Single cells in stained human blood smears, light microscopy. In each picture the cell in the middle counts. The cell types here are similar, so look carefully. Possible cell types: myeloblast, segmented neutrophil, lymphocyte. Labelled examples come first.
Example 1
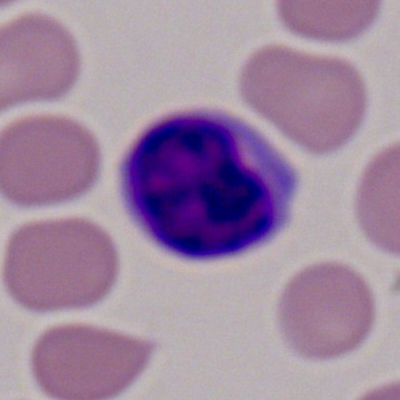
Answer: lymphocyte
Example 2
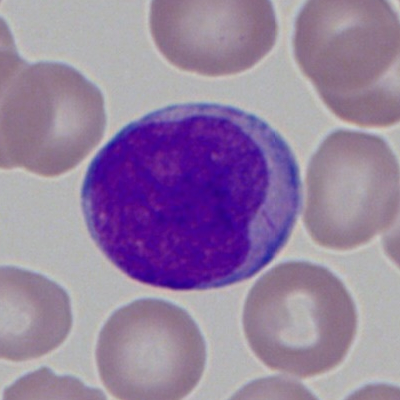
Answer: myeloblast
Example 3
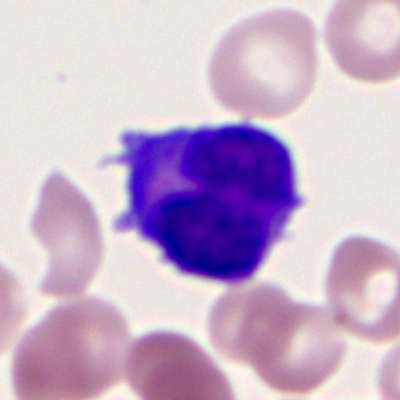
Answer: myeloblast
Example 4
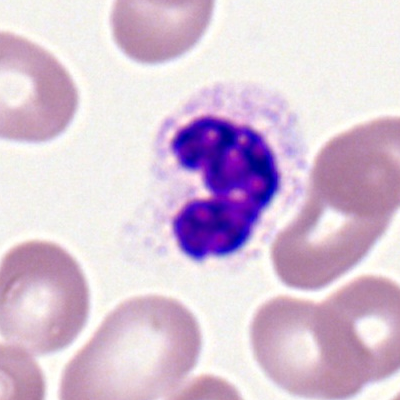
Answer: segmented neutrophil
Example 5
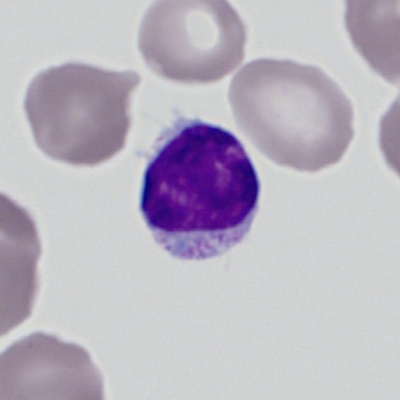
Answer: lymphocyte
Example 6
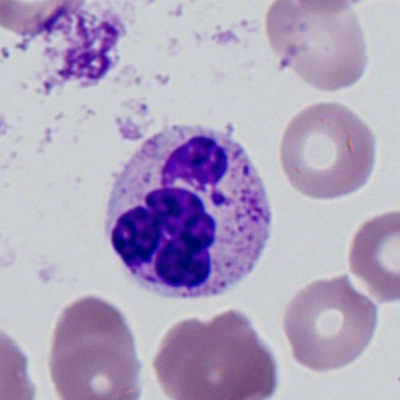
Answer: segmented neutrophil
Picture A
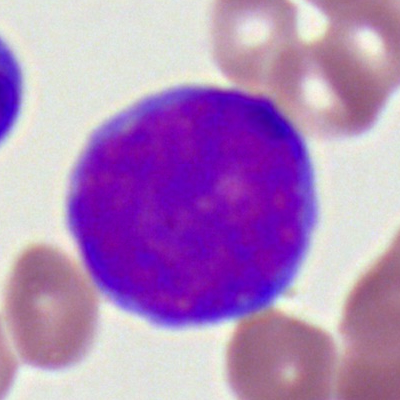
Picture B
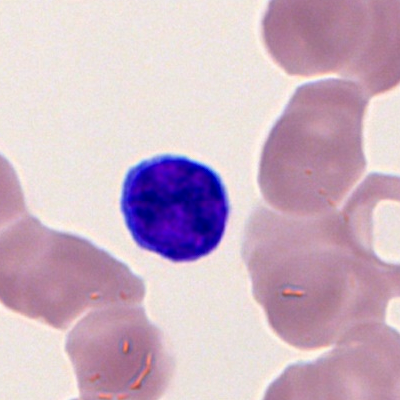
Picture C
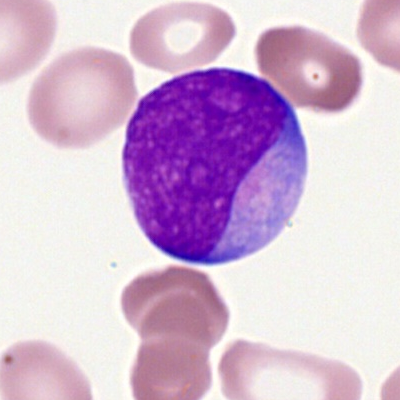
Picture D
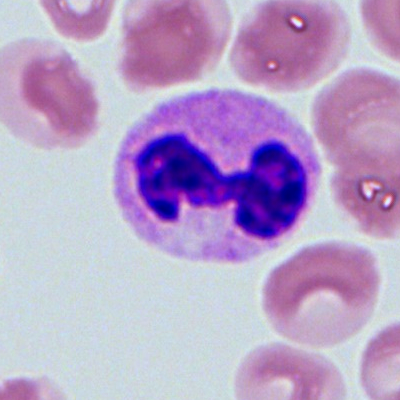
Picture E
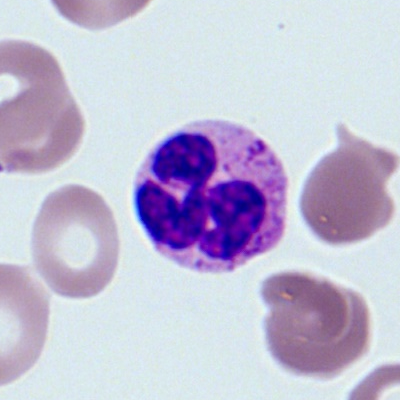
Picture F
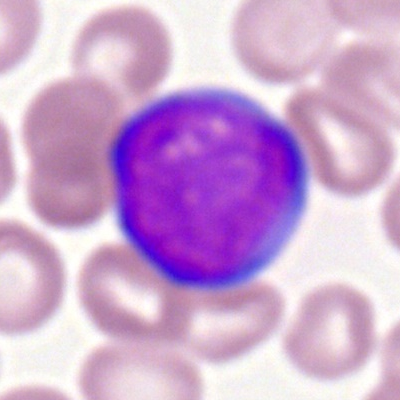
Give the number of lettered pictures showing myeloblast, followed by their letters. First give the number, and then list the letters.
3: A, C, F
